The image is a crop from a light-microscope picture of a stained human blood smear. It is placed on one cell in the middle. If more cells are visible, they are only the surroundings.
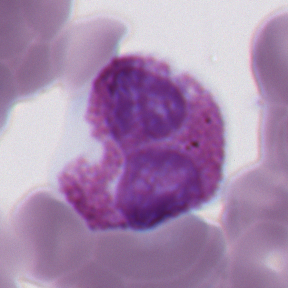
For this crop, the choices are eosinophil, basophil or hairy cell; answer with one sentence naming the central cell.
The cell shown in the center of this light-microscope crop is an eosinophil.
